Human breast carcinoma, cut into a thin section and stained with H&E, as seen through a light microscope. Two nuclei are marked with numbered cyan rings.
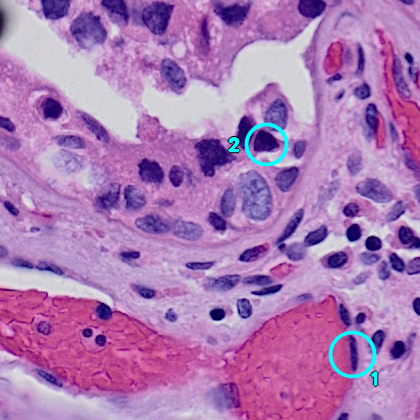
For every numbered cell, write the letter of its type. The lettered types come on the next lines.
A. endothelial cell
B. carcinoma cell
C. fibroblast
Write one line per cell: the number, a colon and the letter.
1: A
2: B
